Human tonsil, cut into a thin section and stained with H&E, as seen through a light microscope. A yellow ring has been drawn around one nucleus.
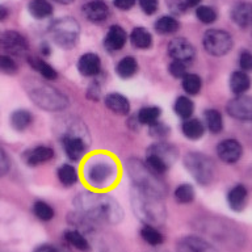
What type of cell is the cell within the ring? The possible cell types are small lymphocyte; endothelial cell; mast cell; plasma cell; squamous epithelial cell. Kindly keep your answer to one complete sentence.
In this tissue section, the cell within the ring is to be classed as an endothelial cell.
